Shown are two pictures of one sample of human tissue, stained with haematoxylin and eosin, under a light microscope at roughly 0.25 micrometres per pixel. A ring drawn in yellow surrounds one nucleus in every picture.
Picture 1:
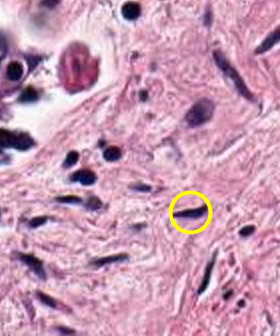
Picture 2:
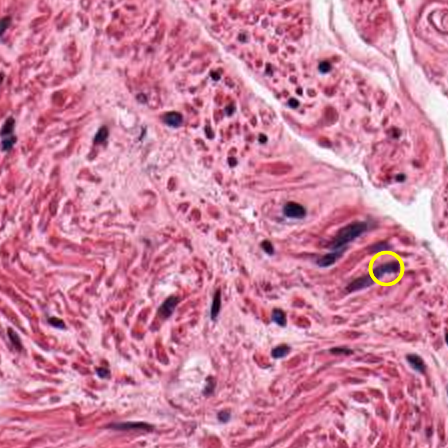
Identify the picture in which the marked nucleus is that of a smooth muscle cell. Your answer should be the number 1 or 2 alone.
2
